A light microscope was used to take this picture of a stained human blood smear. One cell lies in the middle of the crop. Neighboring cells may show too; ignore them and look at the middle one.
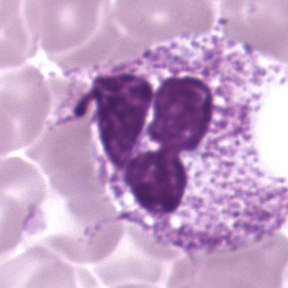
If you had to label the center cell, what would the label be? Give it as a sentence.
The cell positioned in the middle of the field is a segmented neutrophil.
